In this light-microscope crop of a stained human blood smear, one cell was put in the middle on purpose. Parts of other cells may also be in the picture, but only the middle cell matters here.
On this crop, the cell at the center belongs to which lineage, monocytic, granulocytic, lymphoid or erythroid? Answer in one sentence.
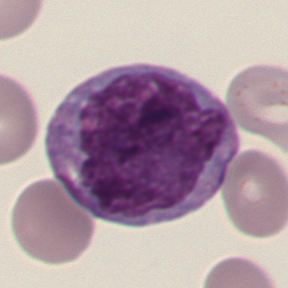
Here the cell at the center is of the granulocytic lineage.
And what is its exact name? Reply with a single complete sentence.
The centered cell in this crop is an atypical promyelocyte.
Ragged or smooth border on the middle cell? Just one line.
No surface projections are present; the cell outline is smooth.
